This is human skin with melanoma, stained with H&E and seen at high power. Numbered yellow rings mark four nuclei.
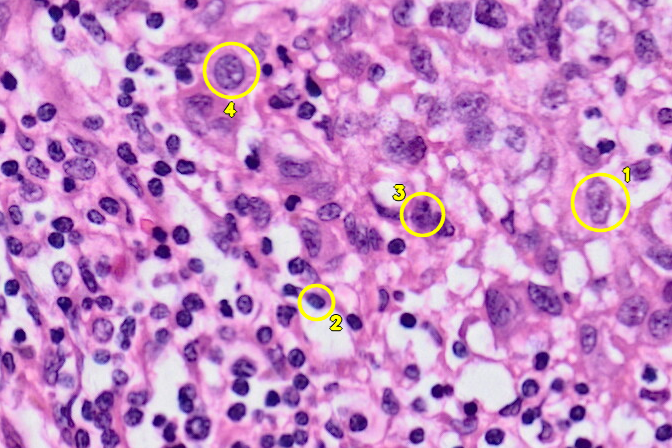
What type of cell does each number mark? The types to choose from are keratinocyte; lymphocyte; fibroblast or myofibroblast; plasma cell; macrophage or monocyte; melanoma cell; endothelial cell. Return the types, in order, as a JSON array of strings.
["melanoma cell", "lymphocyte", "melanoma cell", "melanoma cell"]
